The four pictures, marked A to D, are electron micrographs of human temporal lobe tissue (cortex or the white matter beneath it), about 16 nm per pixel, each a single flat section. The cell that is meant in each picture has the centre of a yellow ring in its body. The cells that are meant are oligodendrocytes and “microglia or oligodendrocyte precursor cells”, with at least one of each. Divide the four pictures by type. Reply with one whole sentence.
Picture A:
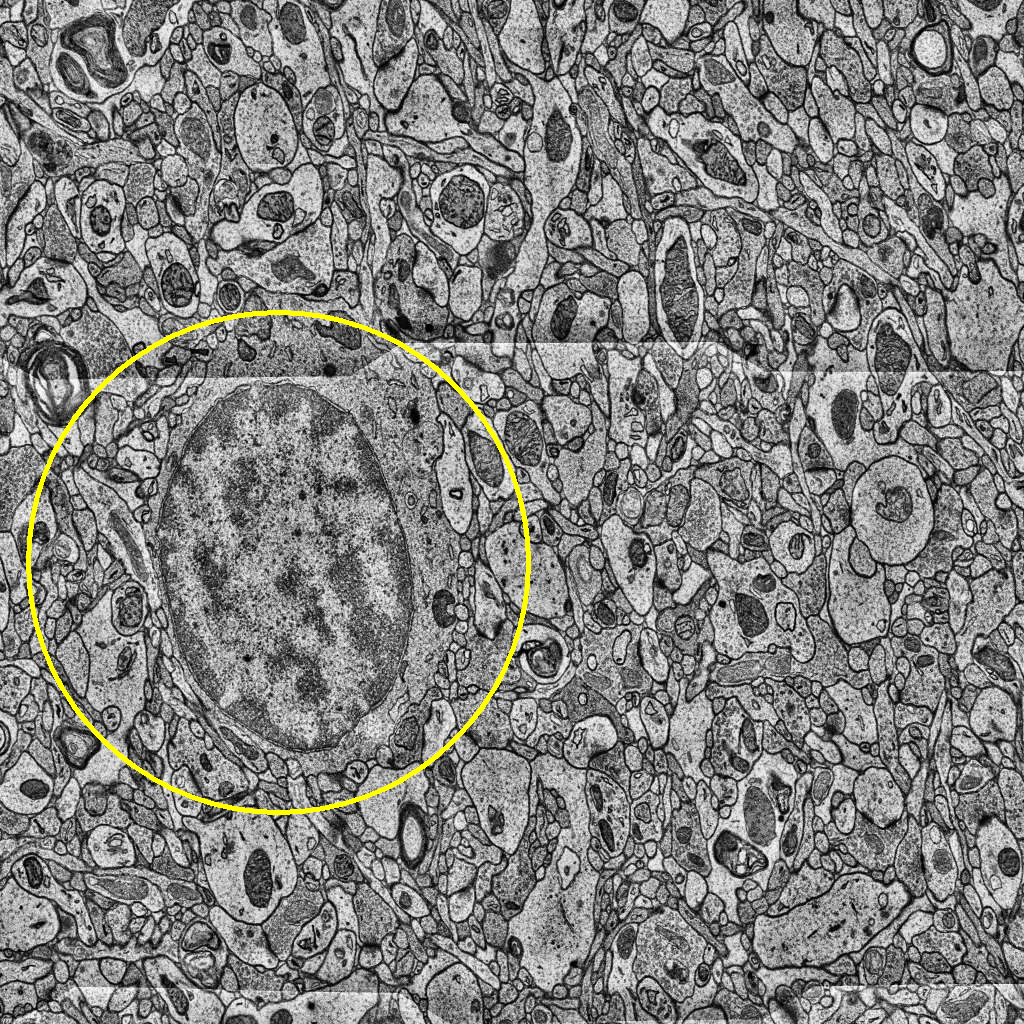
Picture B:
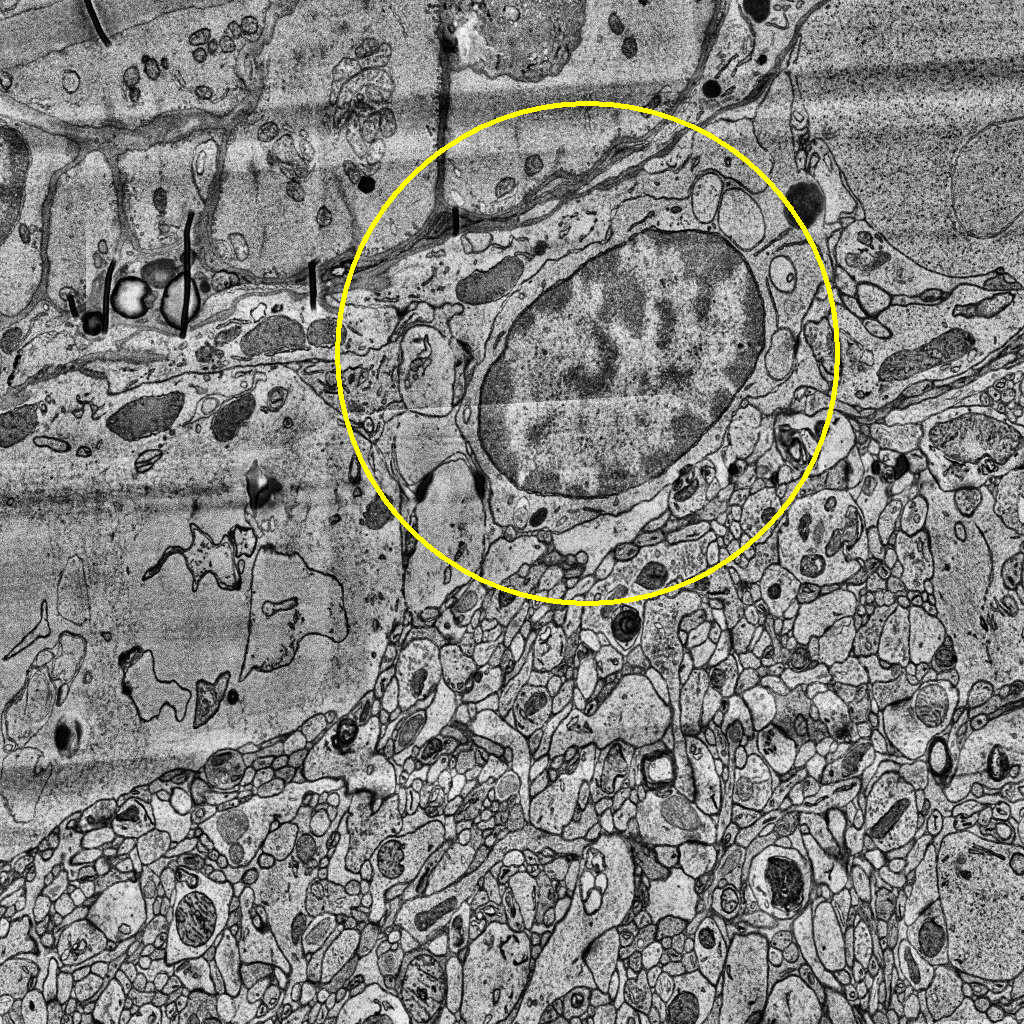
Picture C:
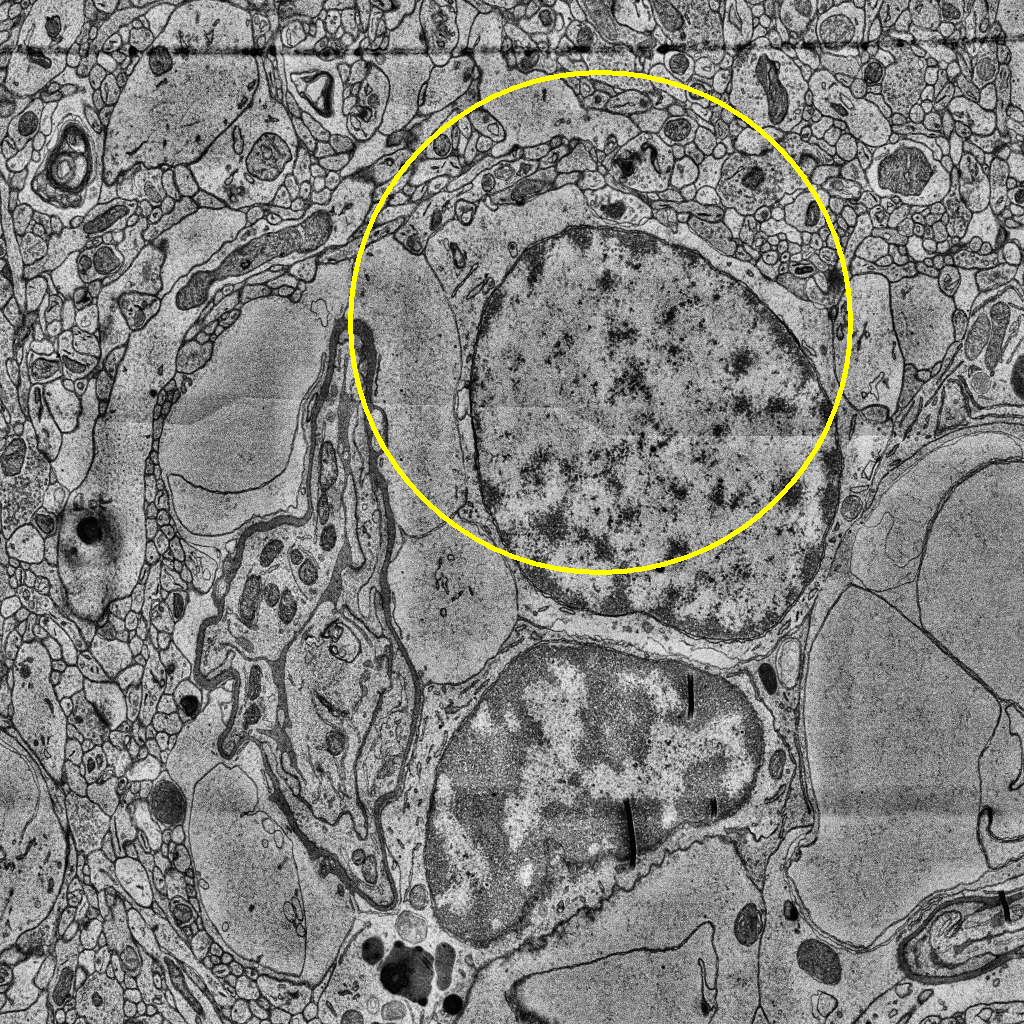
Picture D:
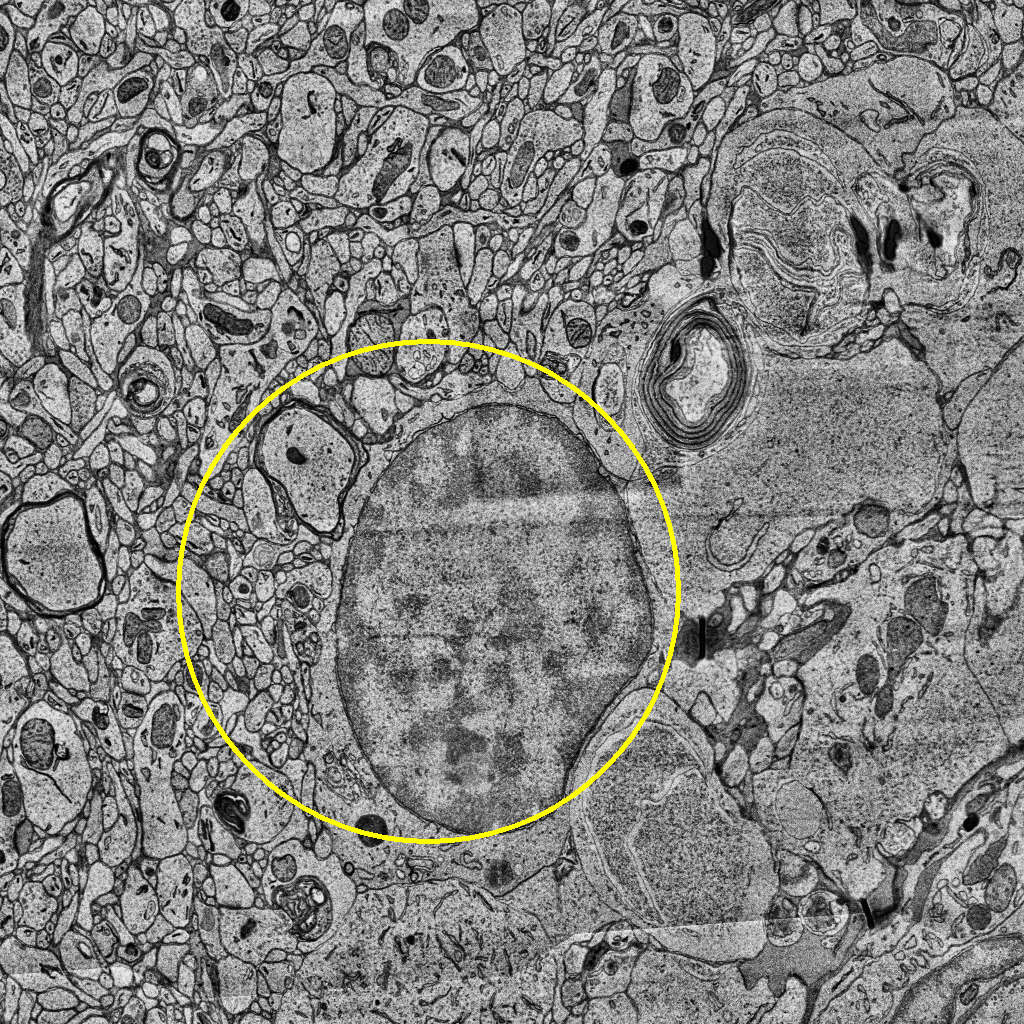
Pictures A and D show oligodendrocytes, and pictures B and C show “microglia or oligodendrocyte precursor cells”.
